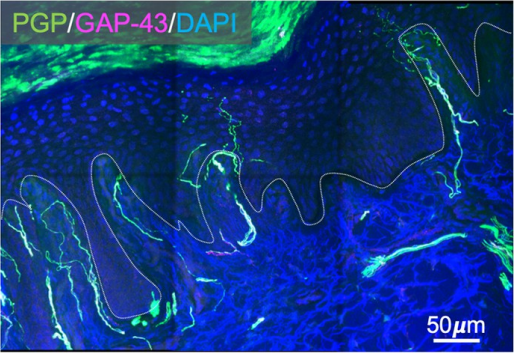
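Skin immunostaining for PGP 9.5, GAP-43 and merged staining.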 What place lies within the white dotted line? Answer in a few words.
dermal-epidermal border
